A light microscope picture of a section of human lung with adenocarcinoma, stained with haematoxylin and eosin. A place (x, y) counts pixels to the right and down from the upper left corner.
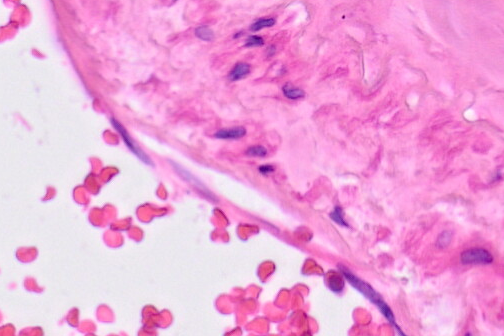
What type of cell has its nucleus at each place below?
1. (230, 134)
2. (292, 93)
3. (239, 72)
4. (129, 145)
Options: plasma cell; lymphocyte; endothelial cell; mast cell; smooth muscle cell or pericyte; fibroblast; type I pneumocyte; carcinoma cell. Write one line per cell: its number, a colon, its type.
1: smooth muscle cell or pericyte
2: smooth muscle cell or pericyte
3: smooth muscle cell or pericyte
4: endothelial cell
